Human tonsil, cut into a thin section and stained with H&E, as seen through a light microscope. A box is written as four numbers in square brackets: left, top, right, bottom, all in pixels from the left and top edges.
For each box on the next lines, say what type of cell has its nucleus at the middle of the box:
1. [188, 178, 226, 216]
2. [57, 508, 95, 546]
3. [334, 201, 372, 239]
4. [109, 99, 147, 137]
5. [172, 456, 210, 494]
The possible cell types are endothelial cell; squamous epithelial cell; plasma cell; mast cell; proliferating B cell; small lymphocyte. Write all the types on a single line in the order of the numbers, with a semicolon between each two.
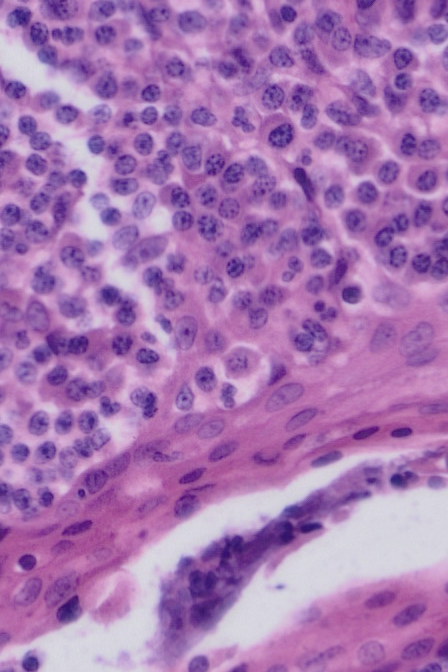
plasma cell; squamous epithelial cell; plasma cell; plasma cell; squamous epithelial cell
